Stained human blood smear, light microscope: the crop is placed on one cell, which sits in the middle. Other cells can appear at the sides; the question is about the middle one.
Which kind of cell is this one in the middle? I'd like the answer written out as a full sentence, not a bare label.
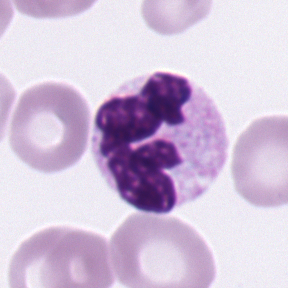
The center cell of this crop is a segmented neutrophil.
